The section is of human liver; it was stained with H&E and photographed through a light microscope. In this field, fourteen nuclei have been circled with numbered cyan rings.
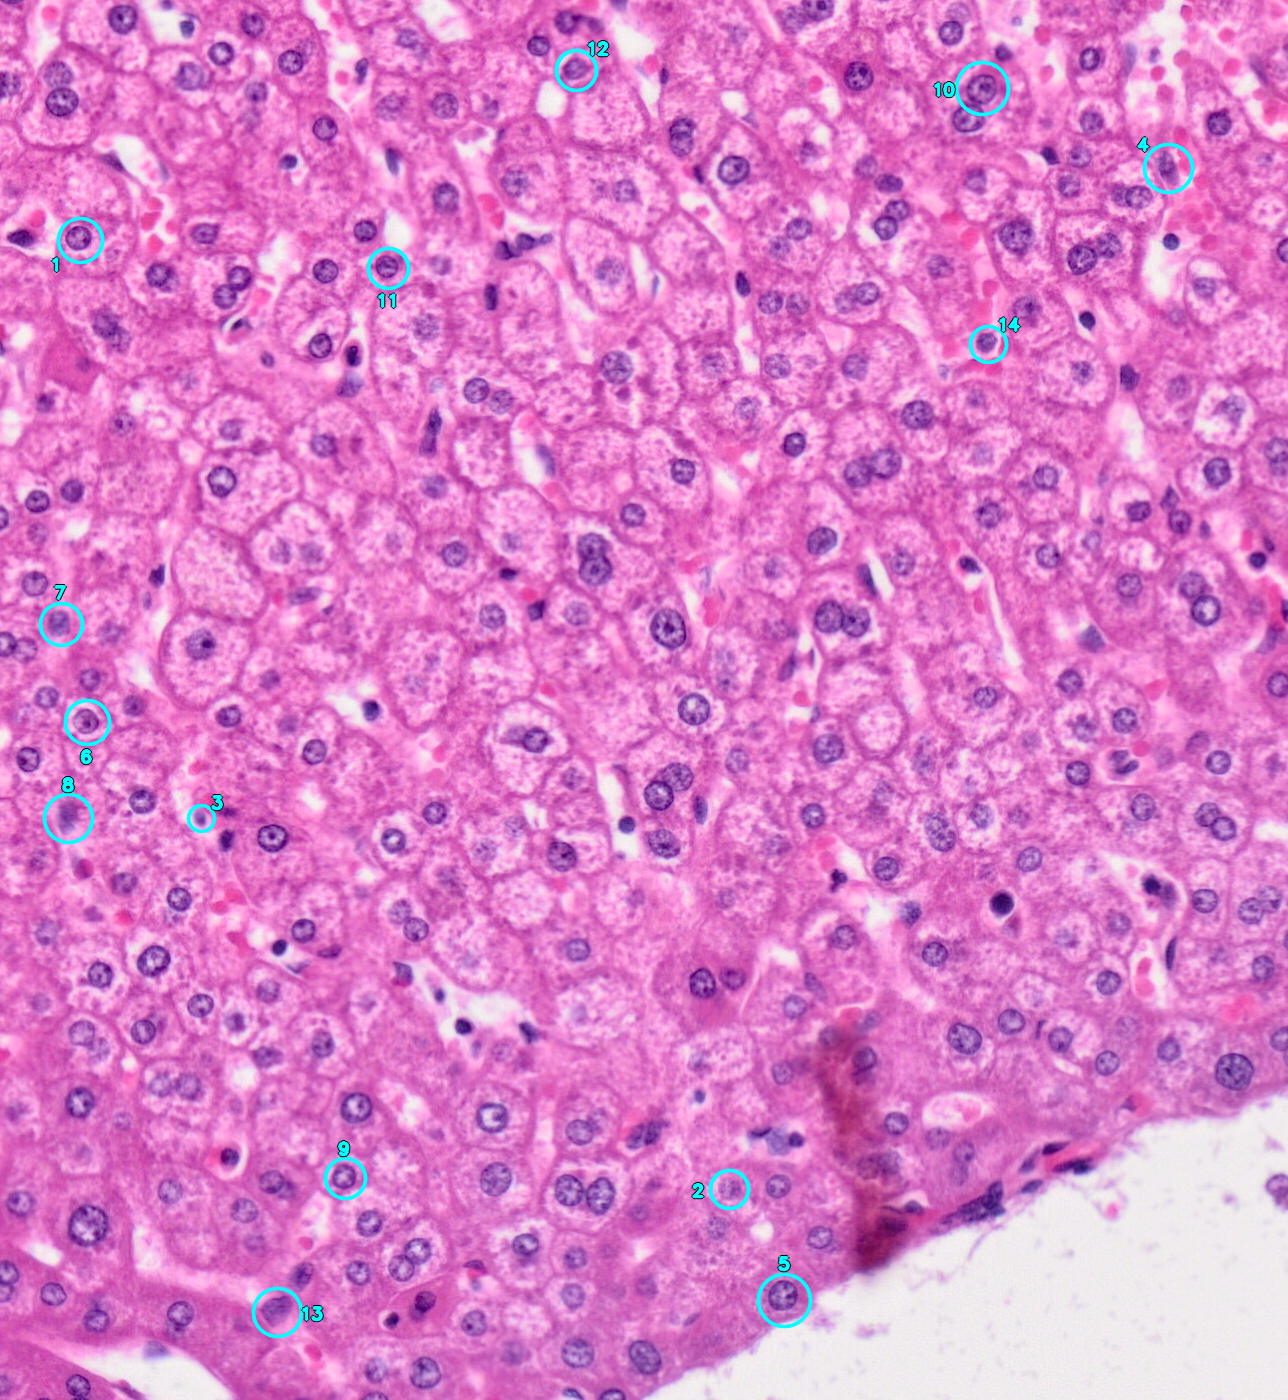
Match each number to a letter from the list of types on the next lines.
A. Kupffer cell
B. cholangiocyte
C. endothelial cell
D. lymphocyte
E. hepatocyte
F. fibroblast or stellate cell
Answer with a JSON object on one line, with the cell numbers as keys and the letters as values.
{"1": "E", "2": "E", "3": "D", "4": "A", "5": "E", "6": "E", "7": "C", "8": "C", "9": "E", "10": "E", "11": "E", "12": "E", "13": "C", "14": "D"}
